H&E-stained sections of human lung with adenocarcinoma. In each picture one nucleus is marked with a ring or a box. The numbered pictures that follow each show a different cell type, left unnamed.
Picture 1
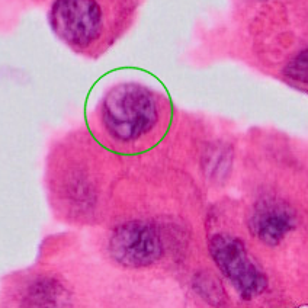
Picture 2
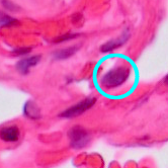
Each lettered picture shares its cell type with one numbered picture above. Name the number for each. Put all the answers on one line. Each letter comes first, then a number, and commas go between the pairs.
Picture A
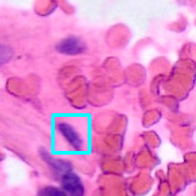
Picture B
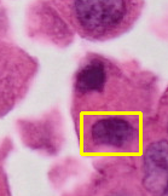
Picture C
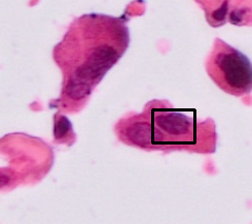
A 2, B 1, C 1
